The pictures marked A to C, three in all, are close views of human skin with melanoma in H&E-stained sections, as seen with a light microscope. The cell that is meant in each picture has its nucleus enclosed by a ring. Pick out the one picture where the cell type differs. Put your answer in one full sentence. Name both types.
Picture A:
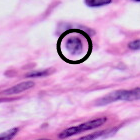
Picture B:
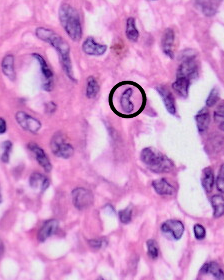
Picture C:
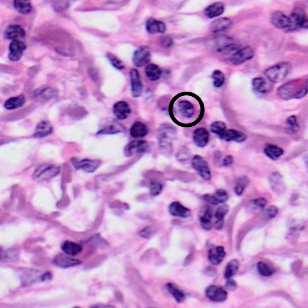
Unlike the rest, which show plasma cells, picture B shows a “macrophage or monocyte”.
